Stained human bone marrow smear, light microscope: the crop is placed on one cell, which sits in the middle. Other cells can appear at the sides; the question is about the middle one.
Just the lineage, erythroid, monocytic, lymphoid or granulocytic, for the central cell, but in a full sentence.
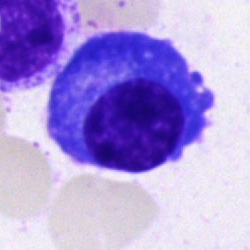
The central cell is grouped with the lymphoid lineage.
